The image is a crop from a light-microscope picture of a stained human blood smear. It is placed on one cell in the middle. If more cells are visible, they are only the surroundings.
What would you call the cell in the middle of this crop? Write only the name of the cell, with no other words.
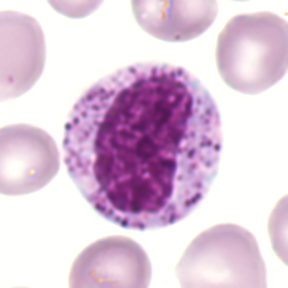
metamyelocyte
